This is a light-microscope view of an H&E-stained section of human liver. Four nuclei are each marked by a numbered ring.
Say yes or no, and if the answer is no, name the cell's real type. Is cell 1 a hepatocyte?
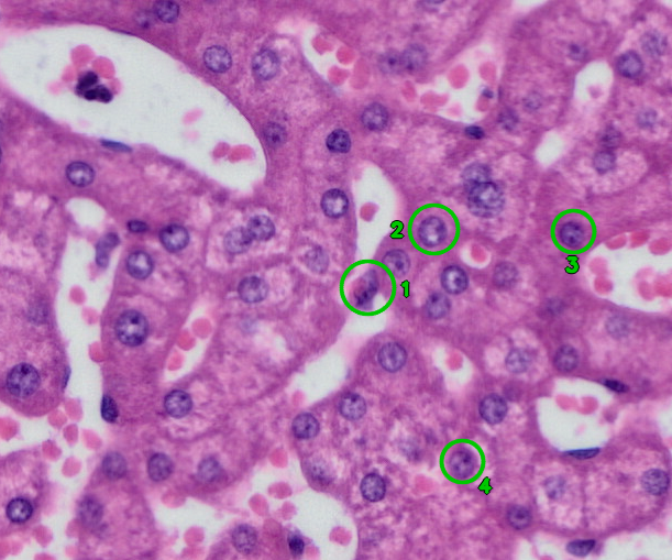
No, it is a Kupffer cell.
